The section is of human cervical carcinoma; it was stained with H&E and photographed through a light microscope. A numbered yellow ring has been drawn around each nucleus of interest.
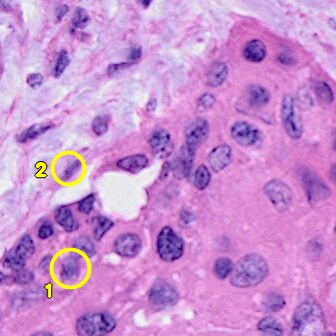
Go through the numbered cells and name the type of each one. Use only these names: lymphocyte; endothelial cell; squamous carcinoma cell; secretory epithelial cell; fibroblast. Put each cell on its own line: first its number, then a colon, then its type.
1: squamous carcinoma cell
2: fibroblast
